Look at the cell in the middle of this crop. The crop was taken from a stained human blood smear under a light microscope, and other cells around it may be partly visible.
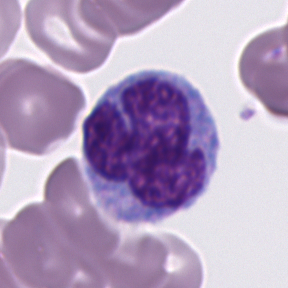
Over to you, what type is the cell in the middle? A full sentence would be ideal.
By classification, the middle cell of this crop is a monocyte.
